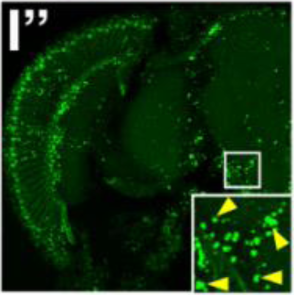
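On the left the optic lobe shows a regular outer row of repeated units and layered curved bands, and the central brain neuropil on the right is more evenly and dimly stained. Bright small round dots are scattered in the cortex around the neuropils. The magnified inset reveals many distinct, rounded puncta of differing size packed in a small area, several indicated with arrowheads, standing out clearly from the faint background.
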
